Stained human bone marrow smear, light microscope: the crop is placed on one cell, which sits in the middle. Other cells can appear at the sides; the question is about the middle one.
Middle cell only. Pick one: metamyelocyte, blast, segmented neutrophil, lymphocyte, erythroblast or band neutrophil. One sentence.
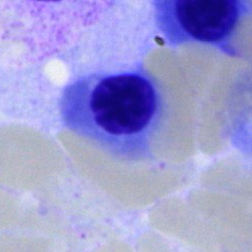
The cell the crop is centered on is an erythroblast.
